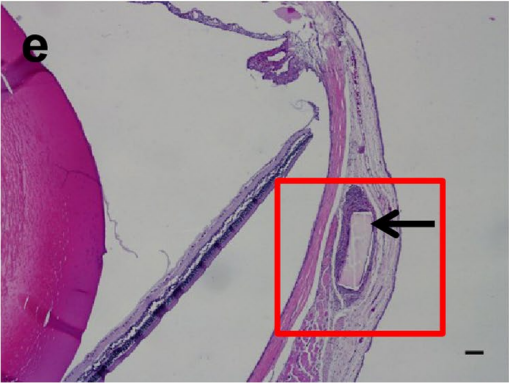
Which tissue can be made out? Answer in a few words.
eye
